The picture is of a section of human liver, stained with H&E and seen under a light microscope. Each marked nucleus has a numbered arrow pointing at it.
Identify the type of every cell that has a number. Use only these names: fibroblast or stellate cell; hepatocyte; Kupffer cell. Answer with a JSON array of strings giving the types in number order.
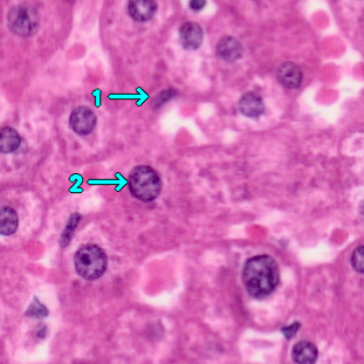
["fibroblast or stellate cell", "hepatocyte"]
